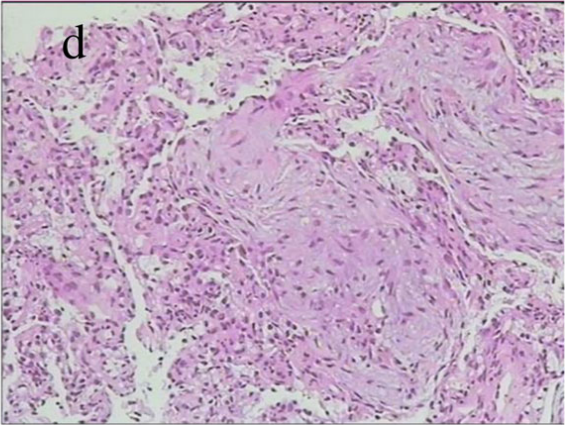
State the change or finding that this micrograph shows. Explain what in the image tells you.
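A central whorled mass of pale pink fibrous tissue with spindle-shaped nuclei. Surrounding septa are thick and cellular. Few open air spaces remain. On this evidence: organizing pneumonia.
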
